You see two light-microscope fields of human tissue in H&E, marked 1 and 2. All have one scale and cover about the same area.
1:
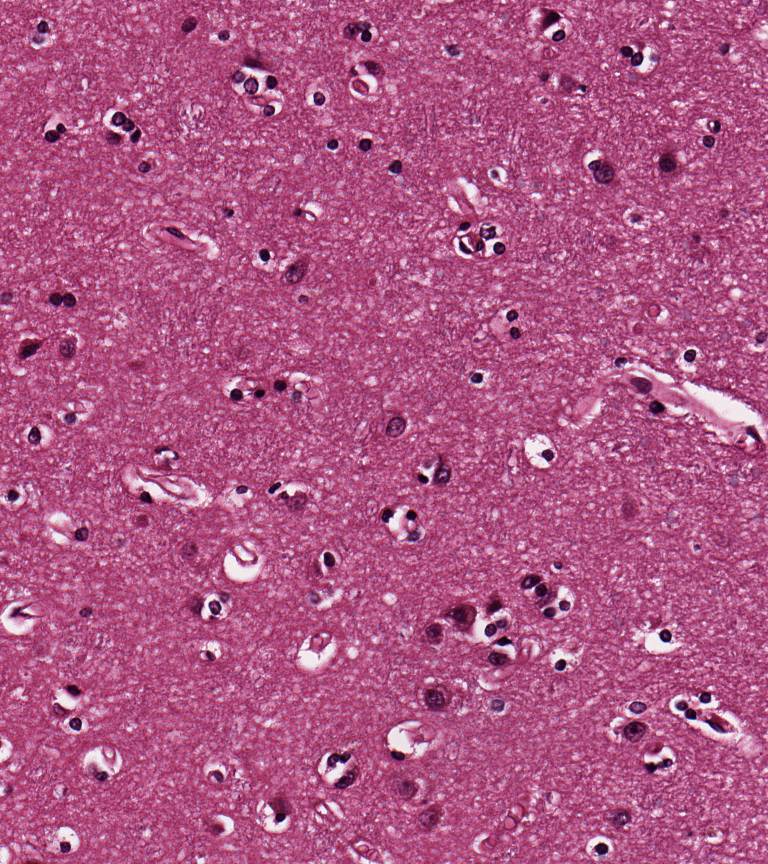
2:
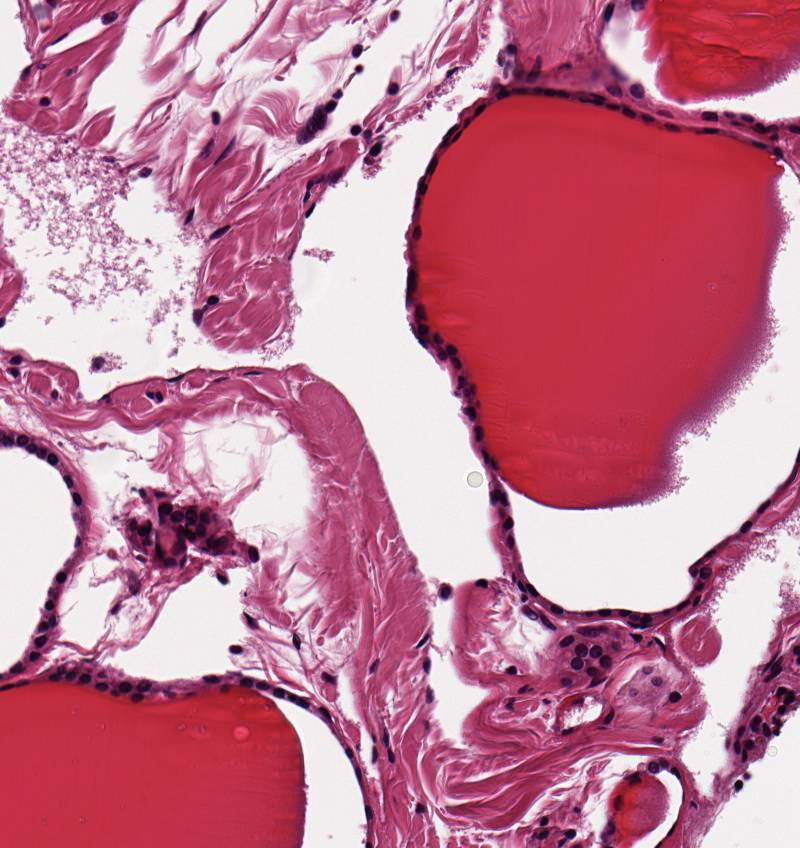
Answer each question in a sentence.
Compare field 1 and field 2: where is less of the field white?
Unstained space takes up less of field 1 than of field 2.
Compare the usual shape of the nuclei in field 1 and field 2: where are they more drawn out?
On the whole the nuclei of field 2 are more drawn out than those of field 1.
